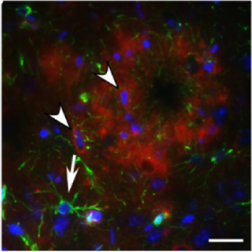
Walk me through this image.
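Brain tissue at higher power shows star-shaped green cells with fine, branching processes and blue nuclei, lying around and among a large rounded cloud of red staining that has a darker centre. Smaller red patches lie beside it, and a few small red dots sit close to blue nuclei at the rim. The green processes reach into the edge of the red area, and the cell bodies lie mostly at its margin and in the tissue around it. Scattered blue nuclei of other cells fill the background.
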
